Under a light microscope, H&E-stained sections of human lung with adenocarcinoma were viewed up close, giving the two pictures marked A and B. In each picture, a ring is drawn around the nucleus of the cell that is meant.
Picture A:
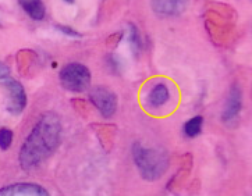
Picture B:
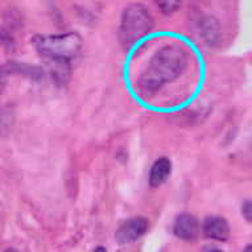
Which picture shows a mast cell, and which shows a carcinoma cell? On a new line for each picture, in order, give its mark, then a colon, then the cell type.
A: mast cell
B: carcinoma cell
